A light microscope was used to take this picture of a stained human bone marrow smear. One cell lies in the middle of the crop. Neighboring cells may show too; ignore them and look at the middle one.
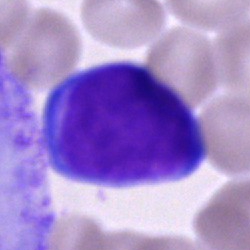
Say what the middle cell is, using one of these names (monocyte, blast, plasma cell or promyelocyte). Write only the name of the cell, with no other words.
blast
